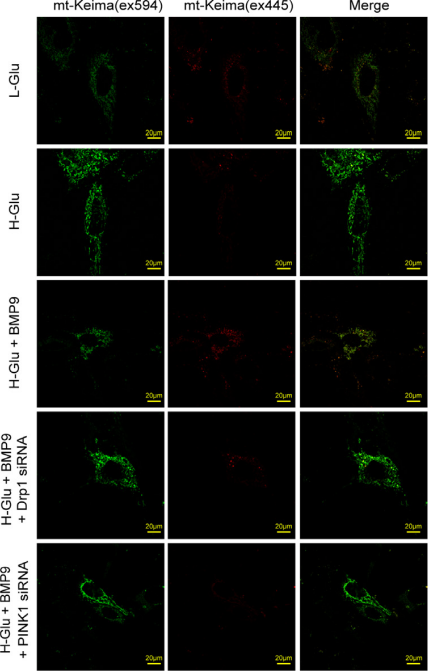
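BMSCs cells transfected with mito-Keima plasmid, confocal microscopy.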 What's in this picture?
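A grid of confocal images shows single cultured marrow stromal cells whose cytoplasm is filled with fine fluorescent dots and short threads. In the green channel the dots form a dense network around the unlabelled nucleus region and spread through the cell body. In the red channel the dots are sparser, and in some rows they are almost absent. In the merged images some rows look mainly green, while in others scattered yellow-orange dots appear where the two channels overlap. The dark, oval space in the middle of each cell marks where the nucleus lies.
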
